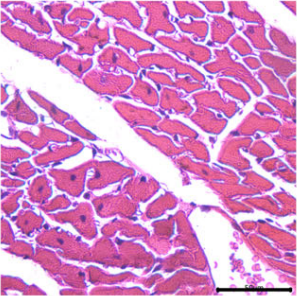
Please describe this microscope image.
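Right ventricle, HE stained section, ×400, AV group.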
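The muscle fibres appear as closely packed polygonal and irregular profiles with deep pink-red cytoplasm. Many profiles contain a single dark, centrally placed nucleus. Narrow pale clefts of interstitium separate the fibres, with a wider pale space running diagonally across the field. Small dark nuclei of interstitial cells lie in the spaces between fibres.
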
